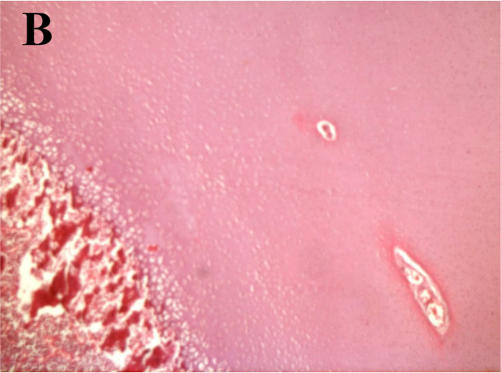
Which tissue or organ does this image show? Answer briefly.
Cartilaginous tissue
